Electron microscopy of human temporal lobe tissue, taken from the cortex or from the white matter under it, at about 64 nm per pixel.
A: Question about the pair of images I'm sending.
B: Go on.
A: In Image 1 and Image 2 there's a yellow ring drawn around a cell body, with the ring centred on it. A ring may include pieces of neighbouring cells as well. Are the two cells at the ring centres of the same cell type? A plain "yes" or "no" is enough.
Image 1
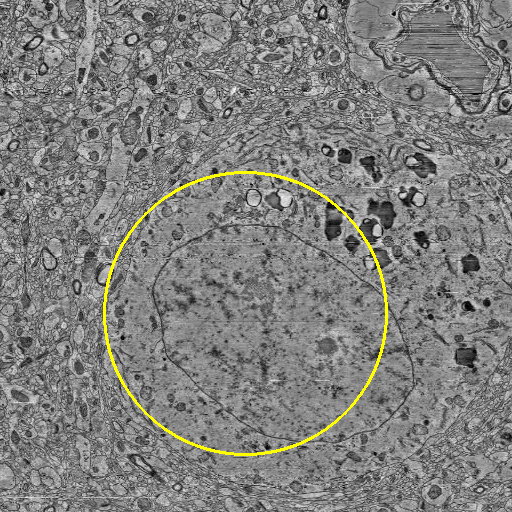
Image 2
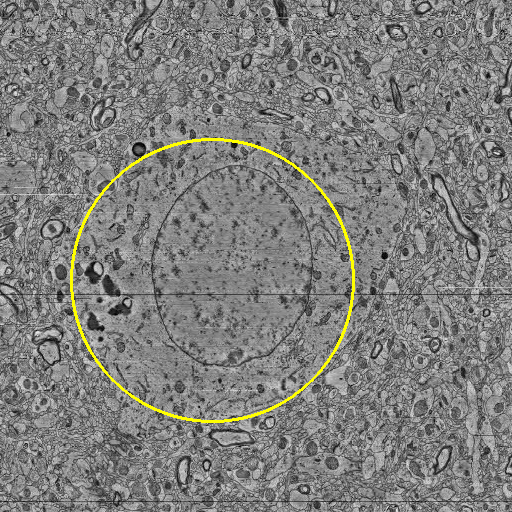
yes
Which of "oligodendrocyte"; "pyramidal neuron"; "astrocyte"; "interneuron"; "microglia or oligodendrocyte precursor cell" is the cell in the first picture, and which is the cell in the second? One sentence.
Both pictures show a pyramidal neuron at the centre of the ring.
